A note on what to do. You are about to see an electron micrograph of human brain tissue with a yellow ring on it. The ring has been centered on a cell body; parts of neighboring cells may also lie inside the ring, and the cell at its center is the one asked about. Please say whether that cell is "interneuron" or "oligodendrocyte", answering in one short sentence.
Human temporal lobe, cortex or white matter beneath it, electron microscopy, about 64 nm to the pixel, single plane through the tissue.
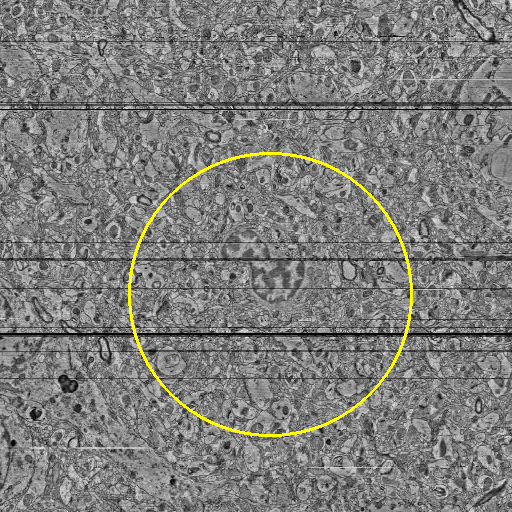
The yellow ring sits on an oligodendrocyte.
